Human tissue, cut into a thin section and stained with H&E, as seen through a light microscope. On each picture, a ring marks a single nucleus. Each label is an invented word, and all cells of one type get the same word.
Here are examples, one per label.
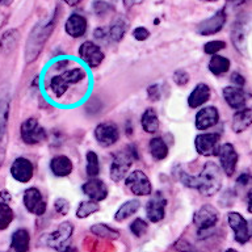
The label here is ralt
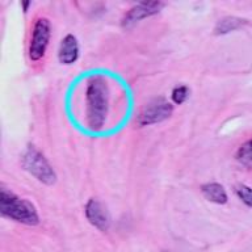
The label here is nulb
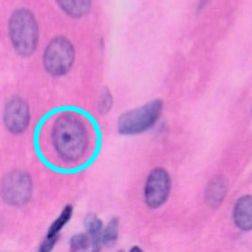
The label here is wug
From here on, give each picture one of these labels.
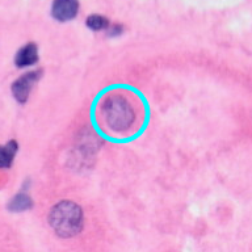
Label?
wug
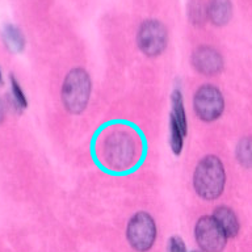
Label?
wug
